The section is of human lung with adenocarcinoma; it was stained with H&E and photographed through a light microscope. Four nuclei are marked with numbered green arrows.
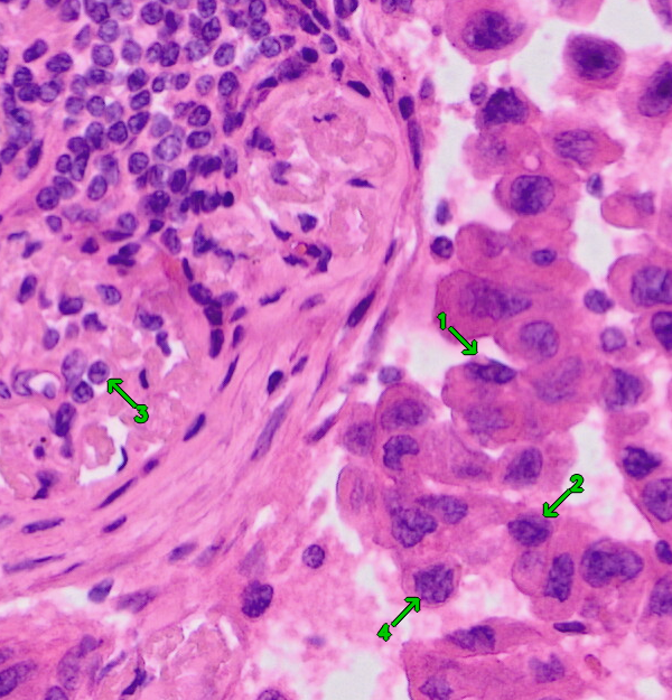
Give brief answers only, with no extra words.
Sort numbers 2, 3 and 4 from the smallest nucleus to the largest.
3, 2, 4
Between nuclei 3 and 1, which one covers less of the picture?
3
